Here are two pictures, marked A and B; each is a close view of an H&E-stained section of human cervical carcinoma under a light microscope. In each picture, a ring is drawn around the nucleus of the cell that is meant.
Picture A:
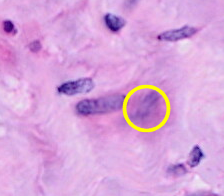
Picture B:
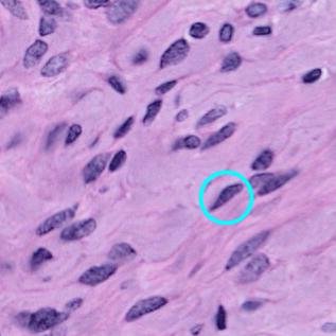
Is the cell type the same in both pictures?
no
